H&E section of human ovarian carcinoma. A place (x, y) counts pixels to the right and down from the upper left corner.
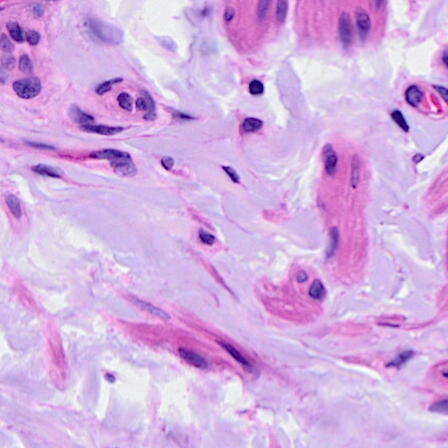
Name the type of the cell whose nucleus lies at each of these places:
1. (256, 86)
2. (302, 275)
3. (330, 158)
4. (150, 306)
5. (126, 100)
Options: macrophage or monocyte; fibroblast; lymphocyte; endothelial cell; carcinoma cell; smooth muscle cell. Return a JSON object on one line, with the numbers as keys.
{"1": "lymphocyte", "2": "smooth muscle cell", "3": "smooth muscle cell", "4": "smooth muscle cell", "5": "endothelial cell"}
